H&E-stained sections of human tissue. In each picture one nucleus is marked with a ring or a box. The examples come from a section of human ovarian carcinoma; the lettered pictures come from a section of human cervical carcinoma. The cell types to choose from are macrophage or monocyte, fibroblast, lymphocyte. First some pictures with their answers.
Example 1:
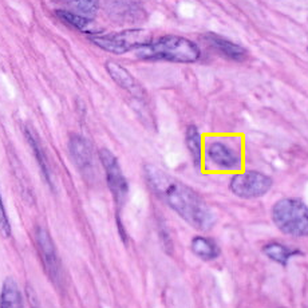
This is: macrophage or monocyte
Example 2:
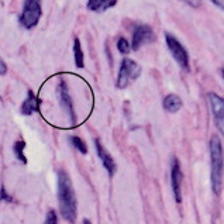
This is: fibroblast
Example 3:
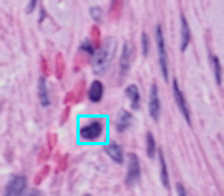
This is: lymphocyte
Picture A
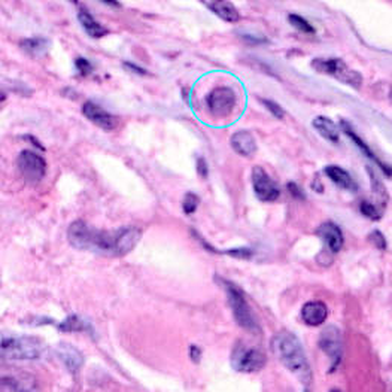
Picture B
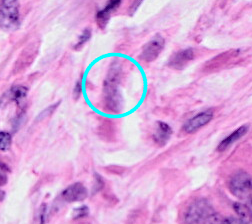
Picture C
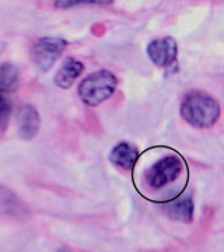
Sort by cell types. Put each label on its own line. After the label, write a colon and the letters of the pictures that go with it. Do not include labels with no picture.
macrophage or monocyte: A
fibroblast: B
lymphocyte: C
